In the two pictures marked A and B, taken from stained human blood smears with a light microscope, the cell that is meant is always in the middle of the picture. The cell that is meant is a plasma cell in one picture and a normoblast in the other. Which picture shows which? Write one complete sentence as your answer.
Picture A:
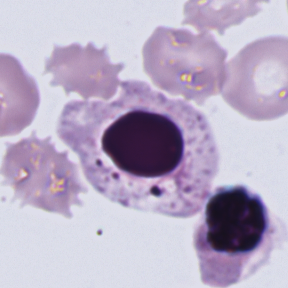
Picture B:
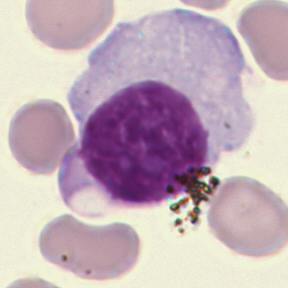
It is picture A that shows a normoblast, and picture B that shows a plasma cell.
